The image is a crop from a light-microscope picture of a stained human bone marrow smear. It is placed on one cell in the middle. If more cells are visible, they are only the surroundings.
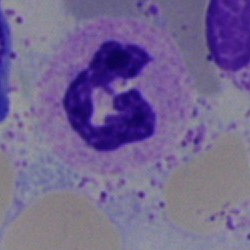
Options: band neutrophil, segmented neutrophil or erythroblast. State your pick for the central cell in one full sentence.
Regarding the central cell, it is a segmented neutrophil.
